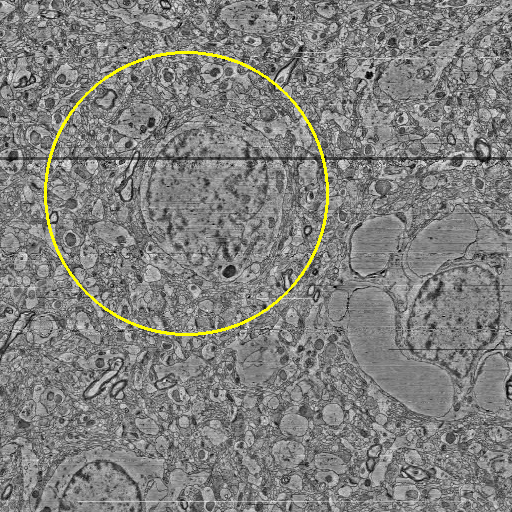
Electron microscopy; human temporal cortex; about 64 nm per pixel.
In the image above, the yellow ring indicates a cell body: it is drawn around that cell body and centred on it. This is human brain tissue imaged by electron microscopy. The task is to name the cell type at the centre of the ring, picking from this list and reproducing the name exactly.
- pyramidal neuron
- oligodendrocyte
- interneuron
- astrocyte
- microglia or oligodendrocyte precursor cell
interneuron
